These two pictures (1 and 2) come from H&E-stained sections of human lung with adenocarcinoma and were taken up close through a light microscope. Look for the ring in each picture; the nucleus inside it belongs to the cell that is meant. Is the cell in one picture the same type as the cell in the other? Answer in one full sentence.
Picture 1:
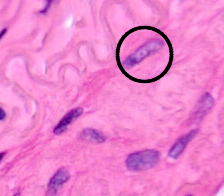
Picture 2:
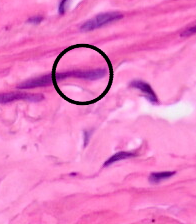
Yes, both are “smooth muscle cells or pericytes”.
